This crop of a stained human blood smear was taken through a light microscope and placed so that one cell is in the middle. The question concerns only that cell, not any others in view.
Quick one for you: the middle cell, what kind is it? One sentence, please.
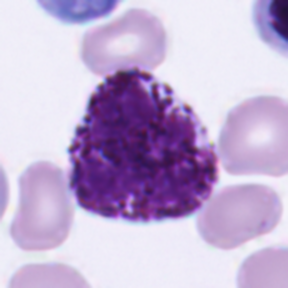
This crop is built around a basophil at its centre.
